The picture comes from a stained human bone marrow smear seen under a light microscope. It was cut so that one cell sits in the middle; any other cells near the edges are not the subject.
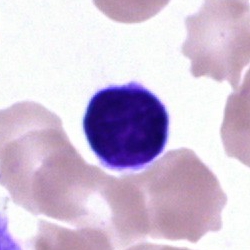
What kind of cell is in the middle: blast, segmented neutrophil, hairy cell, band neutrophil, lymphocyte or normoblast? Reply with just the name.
lymphocyte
